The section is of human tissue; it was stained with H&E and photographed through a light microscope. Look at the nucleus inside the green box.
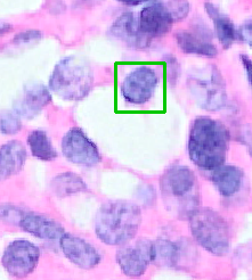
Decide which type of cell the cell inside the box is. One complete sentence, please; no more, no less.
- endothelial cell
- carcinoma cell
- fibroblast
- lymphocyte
Within this tissue, the cell inside the box is a carcinoma cell.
